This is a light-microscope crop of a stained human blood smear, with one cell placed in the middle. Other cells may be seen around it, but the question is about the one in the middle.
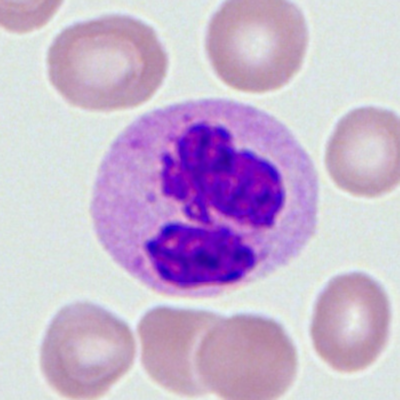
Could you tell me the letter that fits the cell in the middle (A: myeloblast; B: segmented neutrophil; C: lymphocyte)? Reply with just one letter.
B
